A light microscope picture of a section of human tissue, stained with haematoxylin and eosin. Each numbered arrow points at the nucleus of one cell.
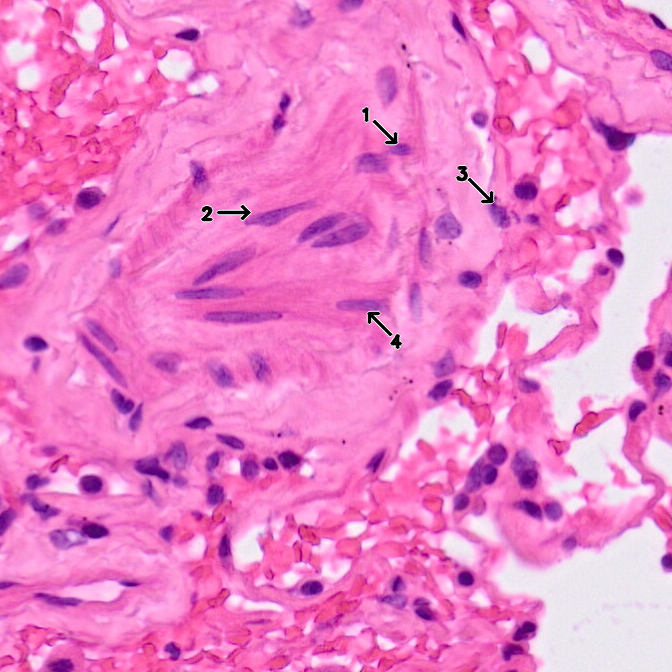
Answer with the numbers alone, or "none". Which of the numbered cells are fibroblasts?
3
